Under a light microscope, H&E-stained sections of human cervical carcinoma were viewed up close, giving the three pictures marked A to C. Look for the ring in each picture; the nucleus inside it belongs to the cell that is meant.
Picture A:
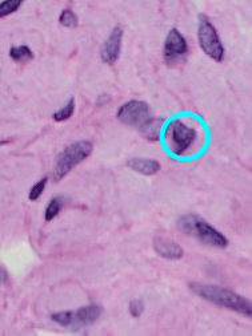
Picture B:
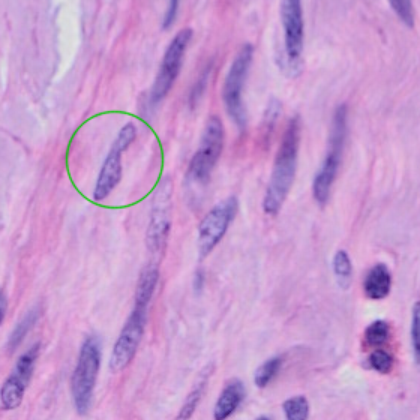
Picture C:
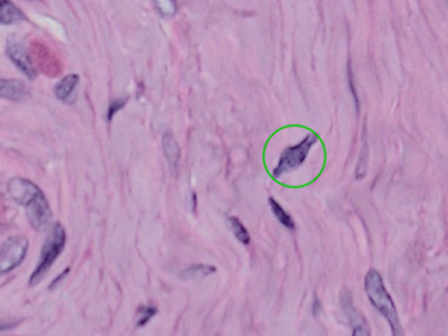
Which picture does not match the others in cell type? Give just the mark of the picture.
B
